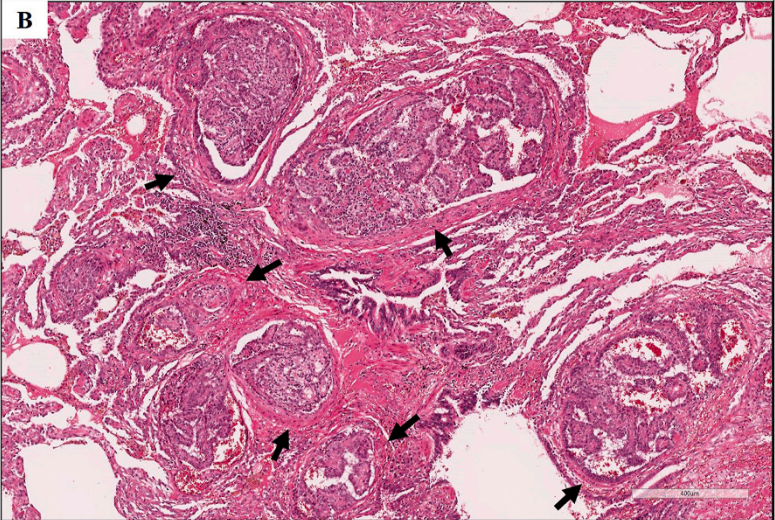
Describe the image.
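Within lung tissue with thin-walled air spaces lie several rounded small arteries, each ringed by a pink band of spindle-shaped muscle cells and filled by a plug of crowded purple epithelial cells. These cells form branching papillary fronds and gland-like lumens with some red blood cells between them, the picture of carcinoma cells lodged inside the arteries.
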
